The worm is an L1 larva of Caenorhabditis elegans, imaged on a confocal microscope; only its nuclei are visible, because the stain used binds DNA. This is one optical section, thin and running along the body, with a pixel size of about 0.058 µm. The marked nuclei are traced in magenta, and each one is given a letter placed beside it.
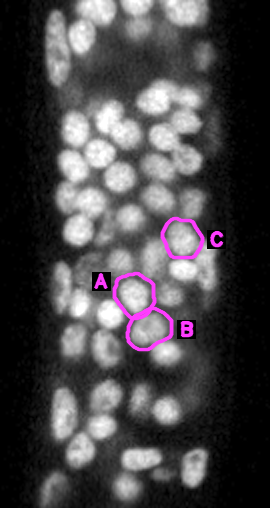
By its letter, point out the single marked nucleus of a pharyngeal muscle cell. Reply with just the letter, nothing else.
A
